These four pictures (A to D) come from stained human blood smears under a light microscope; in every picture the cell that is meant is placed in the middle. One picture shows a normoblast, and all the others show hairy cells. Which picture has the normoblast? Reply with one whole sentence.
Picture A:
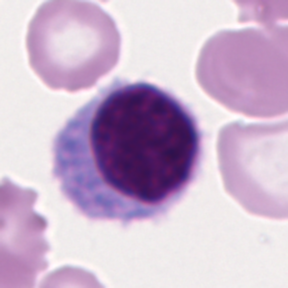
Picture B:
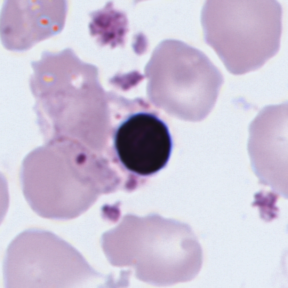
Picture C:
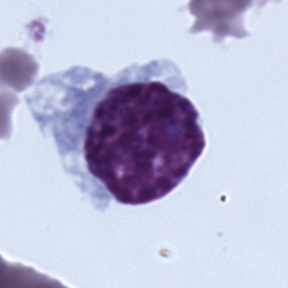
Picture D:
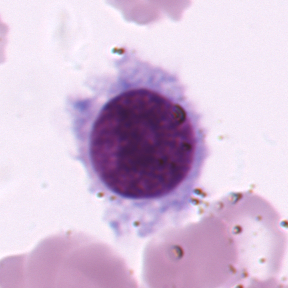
The picture with the normoblast is B.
